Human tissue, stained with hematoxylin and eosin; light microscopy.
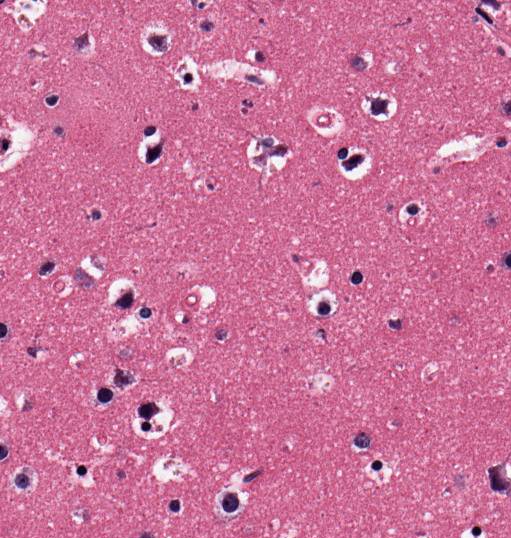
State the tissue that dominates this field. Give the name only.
cerebral cortex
